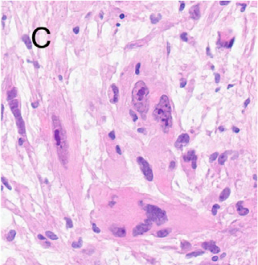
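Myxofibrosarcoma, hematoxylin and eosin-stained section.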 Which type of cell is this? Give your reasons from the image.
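Large cells with several dark, irregular nuclei. Nuclei vary in size and shape.
Answer: tumour multinucleate giant cells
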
